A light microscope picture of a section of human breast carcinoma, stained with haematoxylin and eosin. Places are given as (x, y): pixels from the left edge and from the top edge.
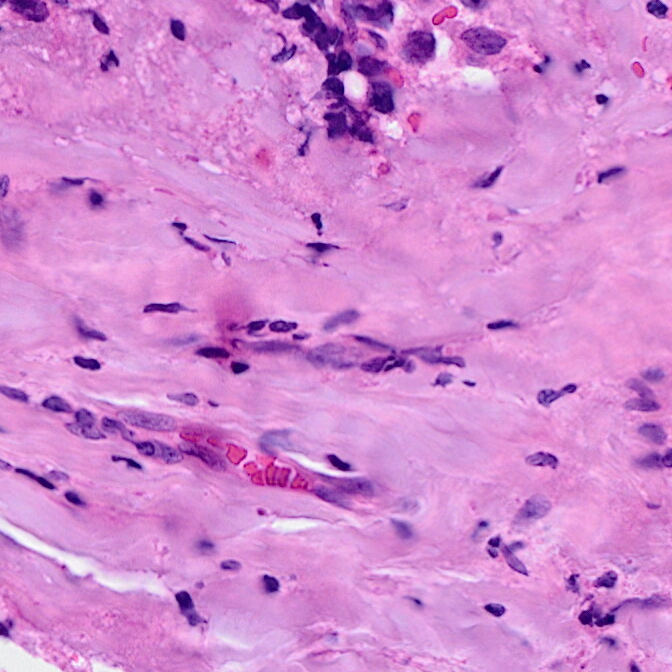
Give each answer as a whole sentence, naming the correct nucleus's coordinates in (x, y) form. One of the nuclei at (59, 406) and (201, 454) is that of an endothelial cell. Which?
The nucleus of an endothelial cell is the one at (201, 454).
